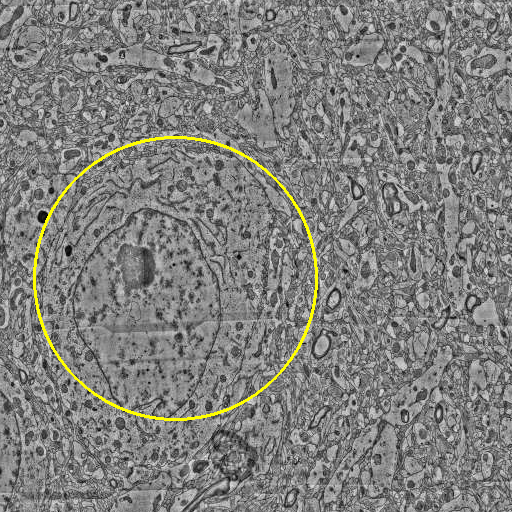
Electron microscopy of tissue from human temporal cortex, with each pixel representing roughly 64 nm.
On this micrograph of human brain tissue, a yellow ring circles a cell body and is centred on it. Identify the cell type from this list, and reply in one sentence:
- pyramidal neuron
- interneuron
The cell at the centre is a pyramidal neuron.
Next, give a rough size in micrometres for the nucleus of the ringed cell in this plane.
In this plane the nucleus measures roughly 13 by 10 micrometers.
